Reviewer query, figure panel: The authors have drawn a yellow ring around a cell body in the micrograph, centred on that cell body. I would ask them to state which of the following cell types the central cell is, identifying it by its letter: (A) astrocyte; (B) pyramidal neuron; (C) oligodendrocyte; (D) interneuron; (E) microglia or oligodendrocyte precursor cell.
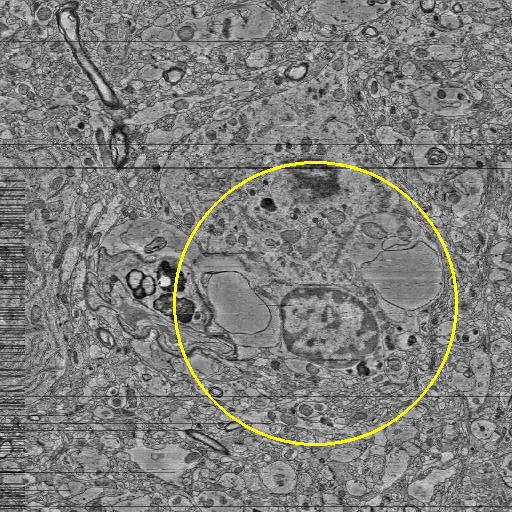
E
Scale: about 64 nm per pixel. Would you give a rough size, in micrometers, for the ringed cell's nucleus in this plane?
The nucleus has a long axis of about 7 micrometres and a short axis of about 5 micrometres in this plane.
